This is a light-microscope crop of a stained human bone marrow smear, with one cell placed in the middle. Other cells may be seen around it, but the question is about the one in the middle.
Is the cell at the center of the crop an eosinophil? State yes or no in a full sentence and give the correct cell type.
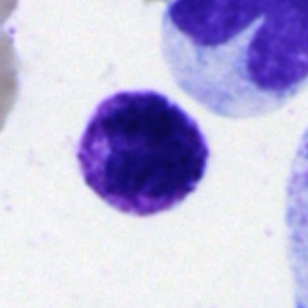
No, the middle of this crop is occupied by a basophil rather than an eosinophil.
